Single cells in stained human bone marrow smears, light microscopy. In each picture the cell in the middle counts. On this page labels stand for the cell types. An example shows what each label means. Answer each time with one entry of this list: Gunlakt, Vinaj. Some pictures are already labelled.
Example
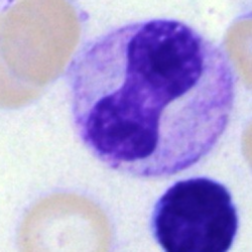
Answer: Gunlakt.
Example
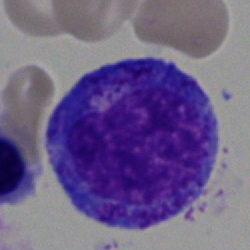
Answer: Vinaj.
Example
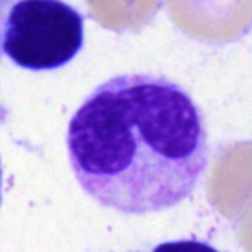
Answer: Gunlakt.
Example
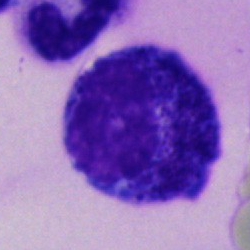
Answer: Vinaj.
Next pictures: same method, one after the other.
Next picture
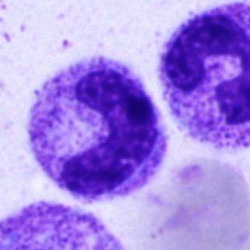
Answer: Gunlakt.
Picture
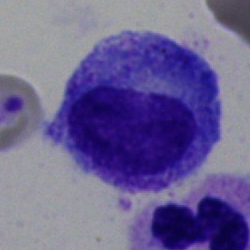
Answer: Vinaj.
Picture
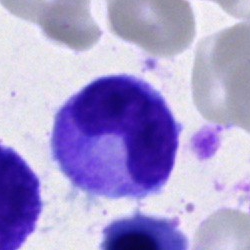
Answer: Gunlakt.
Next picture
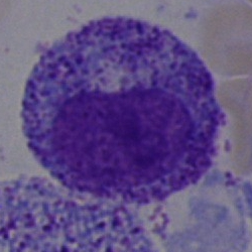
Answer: Vinaj.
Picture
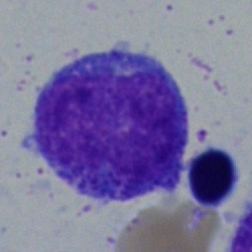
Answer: Vinaj.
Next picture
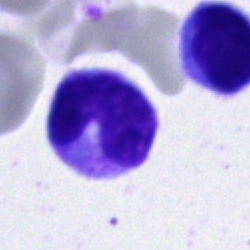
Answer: Gunlakt.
